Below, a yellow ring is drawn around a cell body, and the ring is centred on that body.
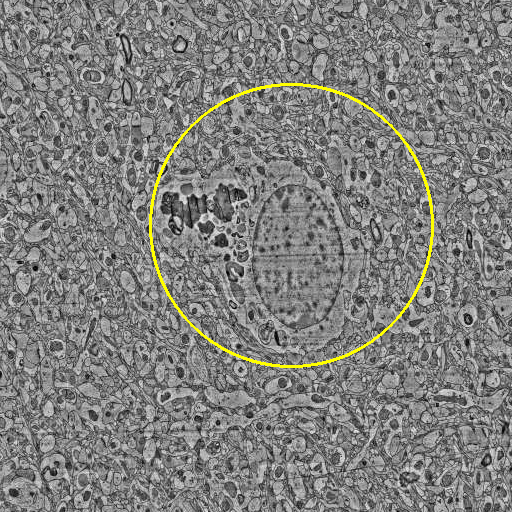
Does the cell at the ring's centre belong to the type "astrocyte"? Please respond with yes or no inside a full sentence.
Yes, the centred cell inside the ring shown in the picture is of this type.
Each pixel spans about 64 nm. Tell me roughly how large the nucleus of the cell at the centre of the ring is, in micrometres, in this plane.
In this plane the nucleus measures about 9 by 6 micrometres and is clearly longer than it is wide.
